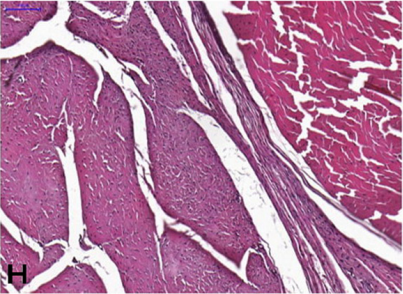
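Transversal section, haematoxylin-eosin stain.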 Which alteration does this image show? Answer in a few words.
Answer: hypercellularity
